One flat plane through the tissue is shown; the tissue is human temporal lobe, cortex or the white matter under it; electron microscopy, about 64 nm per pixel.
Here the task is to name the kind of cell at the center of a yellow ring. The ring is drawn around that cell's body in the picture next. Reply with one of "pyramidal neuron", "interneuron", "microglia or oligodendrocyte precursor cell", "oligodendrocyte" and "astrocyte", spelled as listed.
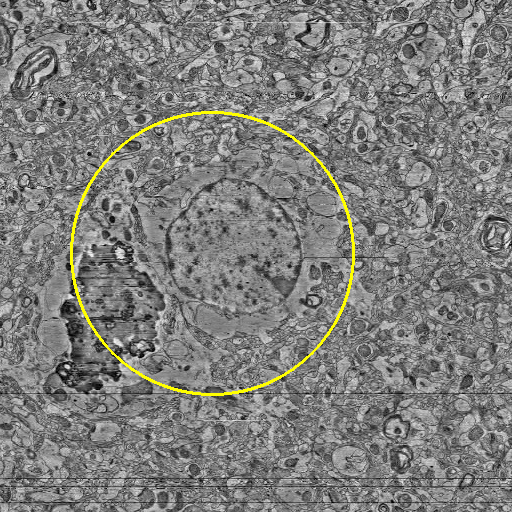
astrocyte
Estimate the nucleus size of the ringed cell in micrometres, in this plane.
The nucleus is about 9 micrometres across in this plane.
